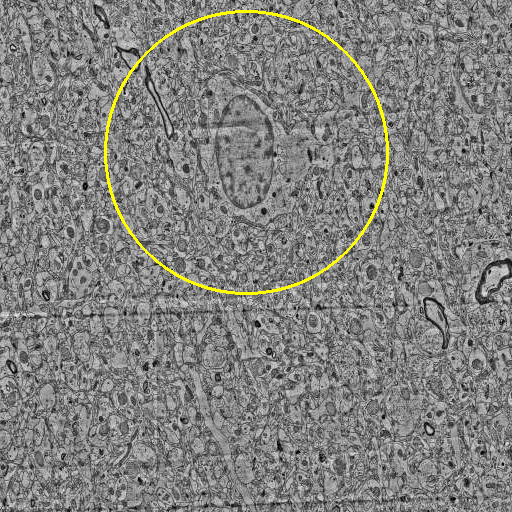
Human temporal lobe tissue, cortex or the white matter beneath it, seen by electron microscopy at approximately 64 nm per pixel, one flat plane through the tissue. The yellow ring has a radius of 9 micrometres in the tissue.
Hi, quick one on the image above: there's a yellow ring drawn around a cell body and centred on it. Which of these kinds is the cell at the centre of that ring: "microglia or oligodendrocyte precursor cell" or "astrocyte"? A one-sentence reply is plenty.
The cell at the centre of the ring is an astrocyte.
